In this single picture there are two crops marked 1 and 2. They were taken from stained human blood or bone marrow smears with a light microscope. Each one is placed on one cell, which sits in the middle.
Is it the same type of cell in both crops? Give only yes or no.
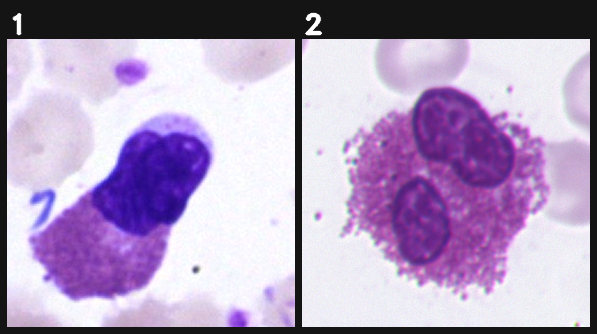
yes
